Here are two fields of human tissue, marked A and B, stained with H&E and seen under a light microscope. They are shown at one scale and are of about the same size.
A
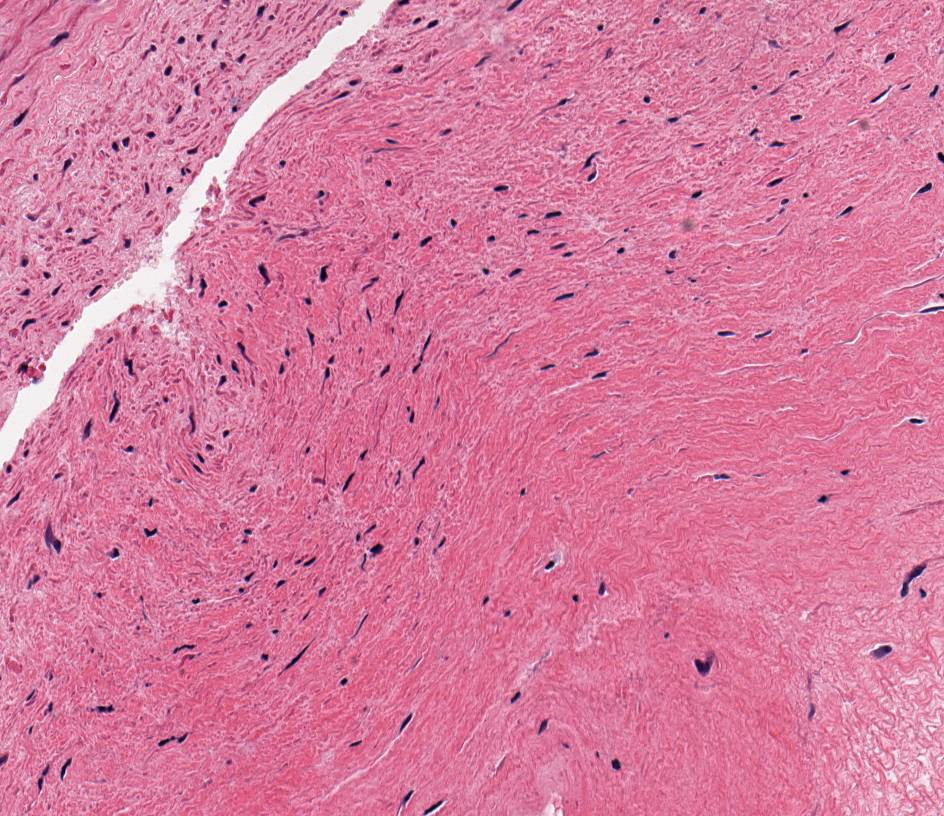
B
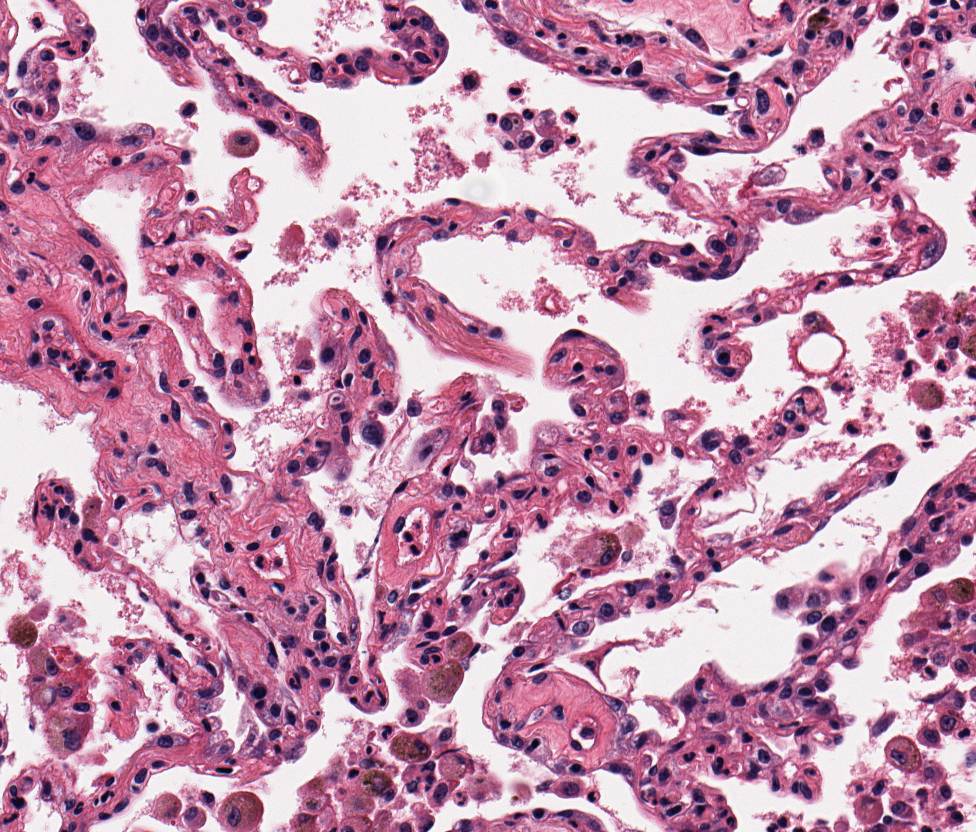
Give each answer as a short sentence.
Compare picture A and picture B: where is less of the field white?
It is picture A that stained tissue fills more completely.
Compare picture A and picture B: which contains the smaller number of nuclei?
Picture A holds fewer nuclei than picture B.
